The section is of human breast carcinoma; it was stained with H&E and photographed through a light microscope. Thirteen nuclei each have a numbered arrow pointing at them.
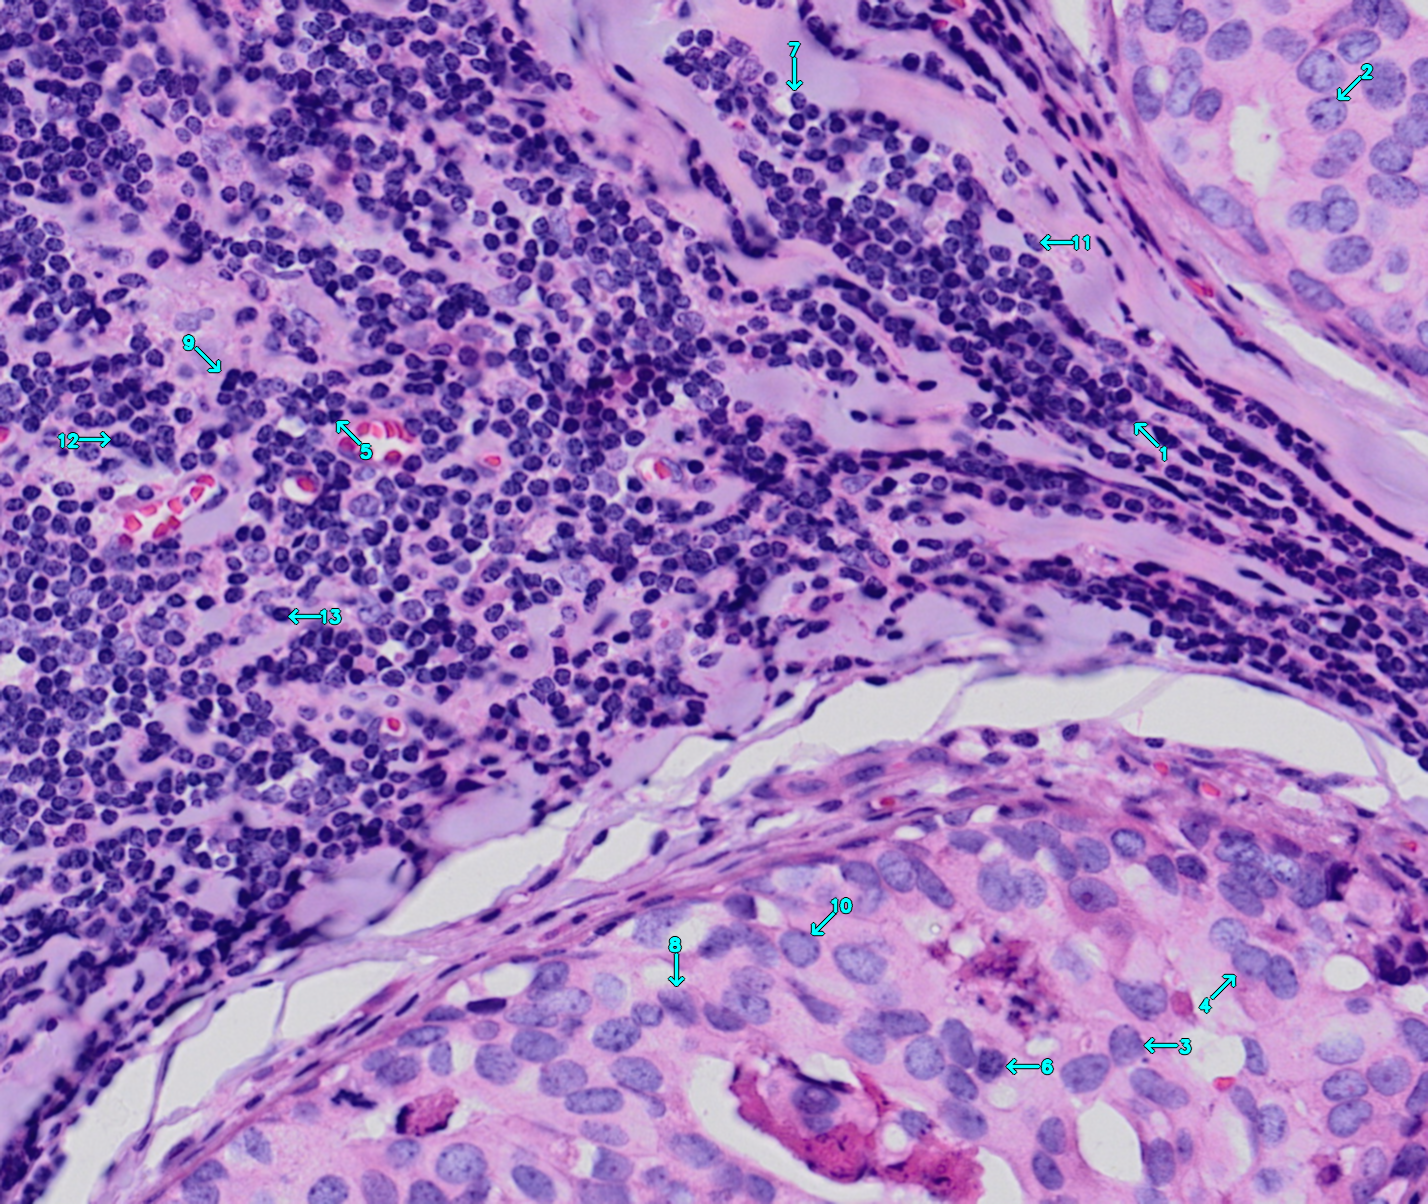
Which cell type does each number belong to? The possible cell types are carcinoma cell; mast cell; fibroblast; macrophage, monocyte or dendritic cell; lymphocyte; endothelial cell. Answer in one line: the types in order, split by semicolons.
lymphocyte; carcinoma cell; carcinoma cell; carcinoma cell; lymphocyte; carcinoma cell; lymphocyte; carcinoma cell; lymphocyte; carcinoma cell; lymphocyte; lymphocyte; lymphocyte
